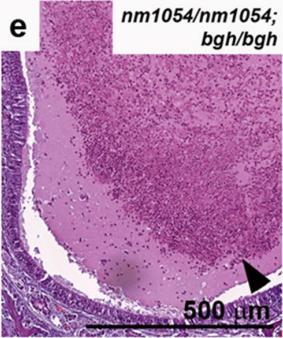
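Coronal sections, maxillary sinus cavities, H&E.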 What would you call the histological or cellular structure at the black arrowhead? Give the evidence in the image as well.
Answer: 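Mucus. The lumen is filled with pale pink amorphous material. Masses of small dark-nucleated cells lie within the pink material.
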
